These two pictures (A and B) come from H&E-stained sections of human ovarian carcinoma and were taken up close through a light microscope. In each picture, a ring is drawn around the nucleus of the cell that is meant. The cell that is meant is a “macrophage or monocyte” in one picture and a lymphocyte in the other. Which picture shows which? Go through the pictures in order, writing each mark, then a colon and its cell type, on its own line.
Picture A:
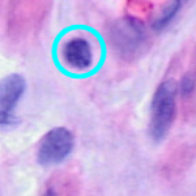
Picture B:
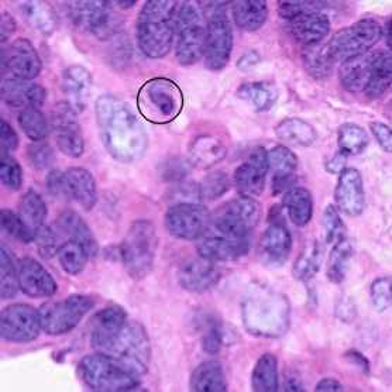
A: lymphocyte
B: macrophage or monocyte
